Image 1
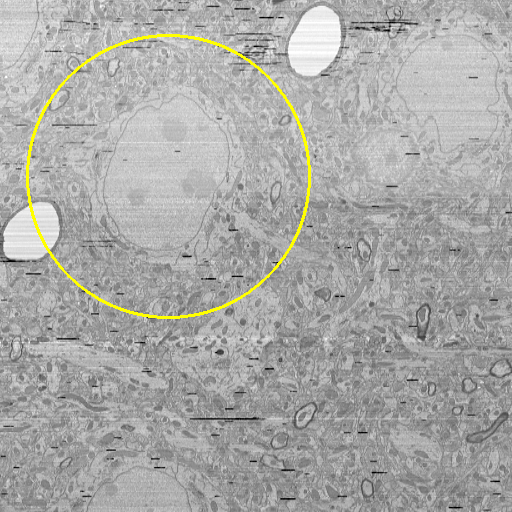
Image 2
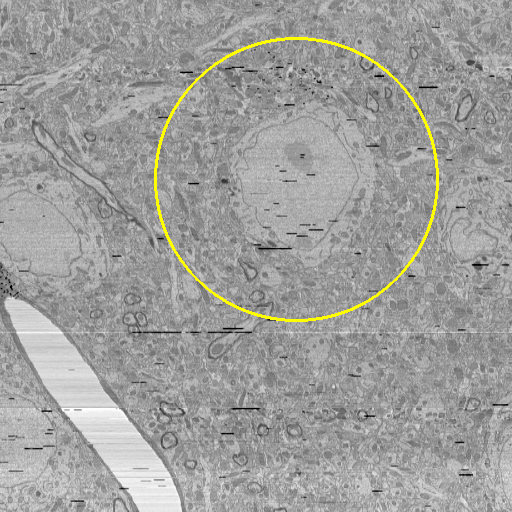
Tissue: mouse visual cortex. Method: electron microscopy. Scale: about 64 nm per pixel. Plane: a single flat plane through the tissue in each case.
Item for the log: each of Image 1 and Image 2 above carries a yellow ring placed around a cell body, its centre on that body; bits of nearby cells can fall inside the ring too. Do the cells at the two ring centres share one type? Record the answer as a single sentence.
Yes, the two cells at the ring centres in Image 1 and Image 2 share one type.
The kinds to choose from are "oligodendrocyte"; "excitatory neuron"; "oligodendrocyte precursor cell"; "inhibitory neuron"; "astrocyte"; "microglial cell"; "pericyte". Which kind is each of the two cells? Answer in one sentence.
Each of the ringed cells, first and second, is an excitatory neuron.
